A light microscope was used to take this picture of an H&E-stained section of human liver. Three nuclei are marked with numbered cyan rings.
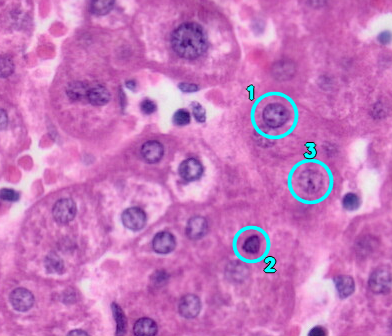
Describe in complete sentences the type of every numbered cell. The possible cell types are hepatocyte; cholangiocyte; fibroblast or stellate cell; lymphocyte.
Cells 1 and 3 are hepatocytes. Cell 2 is a fibroblast or stellate cell.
